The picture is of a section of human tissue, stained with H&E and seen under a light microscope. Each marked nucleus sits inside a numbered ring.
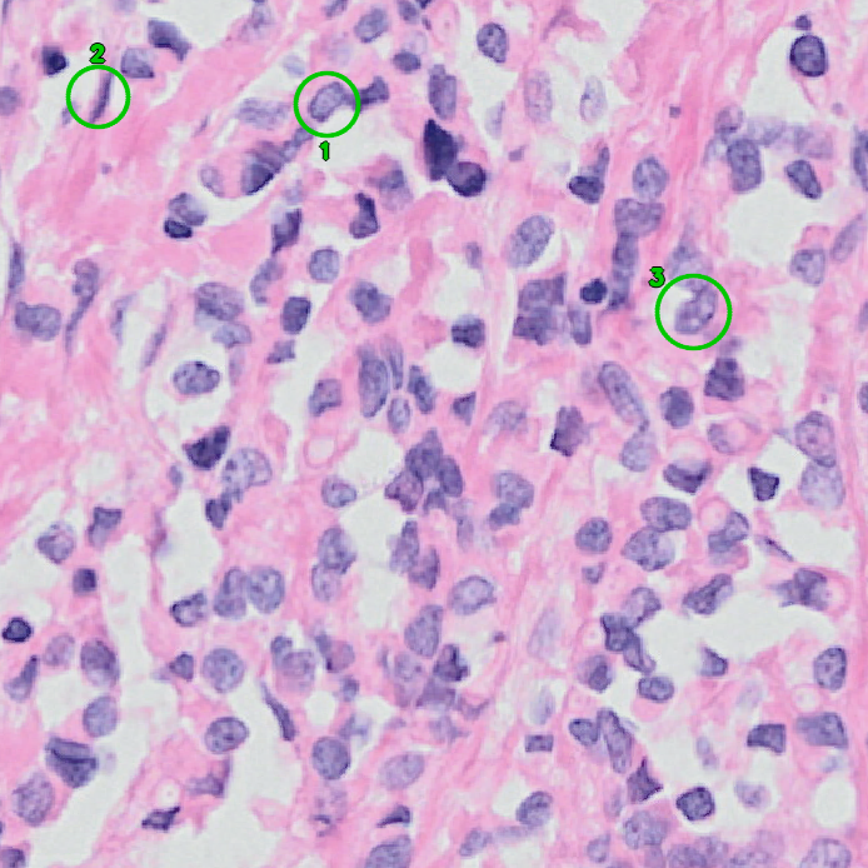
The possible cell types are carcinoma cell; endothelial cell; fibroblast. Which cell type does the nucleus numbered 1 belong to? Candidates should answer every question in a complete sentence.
The cell identified by number 1 is a carcinoma cell.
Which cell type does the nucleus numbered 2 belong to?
The numbered cell 2 is identified here as a fibroblast.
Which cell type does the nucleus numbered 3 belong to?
The cell referred to as 3 is a carcinoma cell.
